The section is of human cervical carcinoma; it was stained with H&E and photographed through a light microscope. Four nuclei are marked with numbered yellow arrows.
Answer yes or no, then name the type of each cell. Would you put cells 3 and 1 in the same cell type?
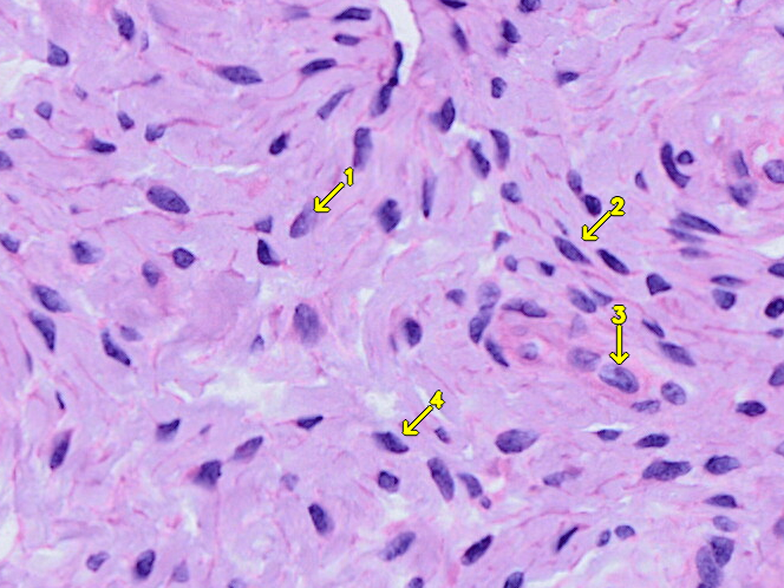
No, cell 3 is an endothelial cell, and as for cell 1, it is a fibroblast.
